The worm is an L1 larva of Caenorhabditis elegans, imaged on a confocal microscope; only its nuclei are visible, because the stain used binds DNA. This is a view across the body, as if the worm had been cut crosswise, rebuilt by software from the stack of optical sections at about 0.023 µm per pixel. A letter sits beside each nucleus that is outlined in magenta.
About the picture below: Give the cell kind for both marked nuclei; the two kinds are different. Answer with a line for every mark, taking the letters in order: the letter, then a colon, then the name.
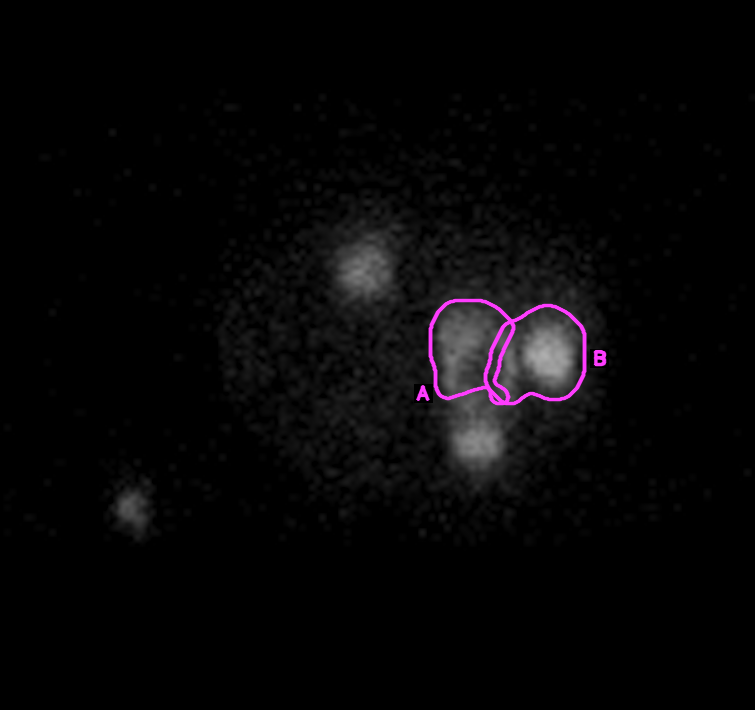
A: intestinal cell
B: neuron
